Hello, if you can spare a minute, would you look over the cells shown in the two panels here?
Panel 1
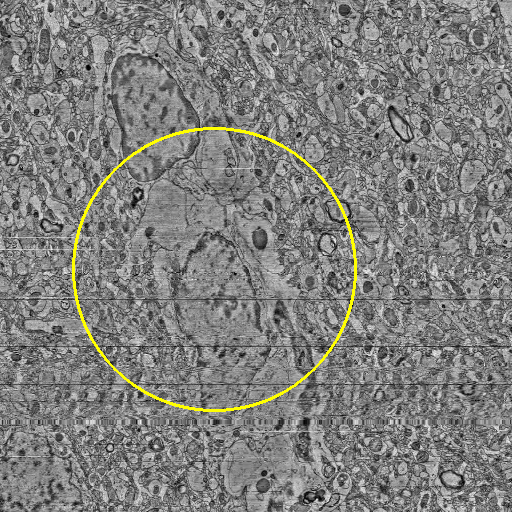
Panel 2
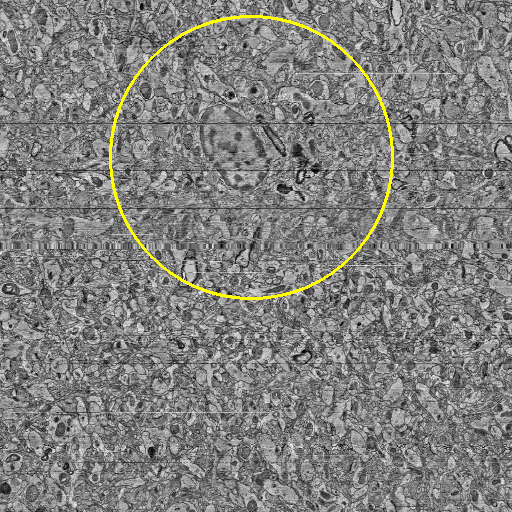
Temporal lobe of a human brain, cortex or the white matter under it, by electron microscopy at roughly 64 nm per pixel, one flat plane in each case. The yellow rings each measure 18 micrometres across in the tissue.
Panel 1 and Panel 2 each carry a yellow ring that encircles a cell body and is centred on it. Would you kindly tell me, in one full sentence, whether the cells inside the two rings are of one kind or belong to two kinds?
The cells at the centres of the rings in Panel 1 and Panel 2 are of one kind.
